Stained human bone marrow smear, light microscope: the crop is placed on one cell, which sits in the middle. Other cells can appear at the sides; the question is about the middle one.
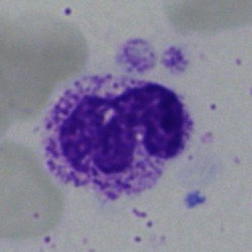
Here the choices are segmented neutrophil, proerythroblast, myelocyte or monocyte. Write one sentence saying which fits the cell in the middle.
Answering briefly, the cell in the middle is a segmented neutrophil.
